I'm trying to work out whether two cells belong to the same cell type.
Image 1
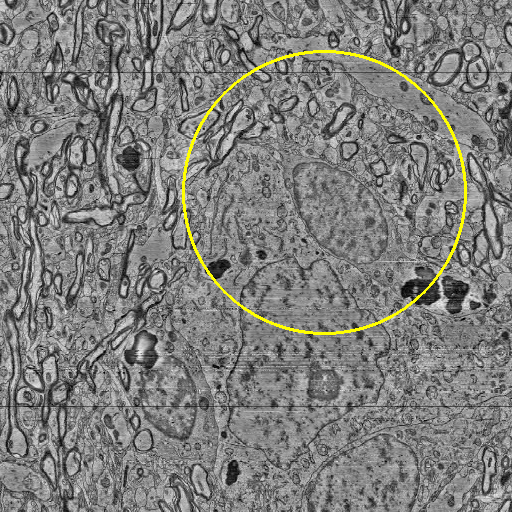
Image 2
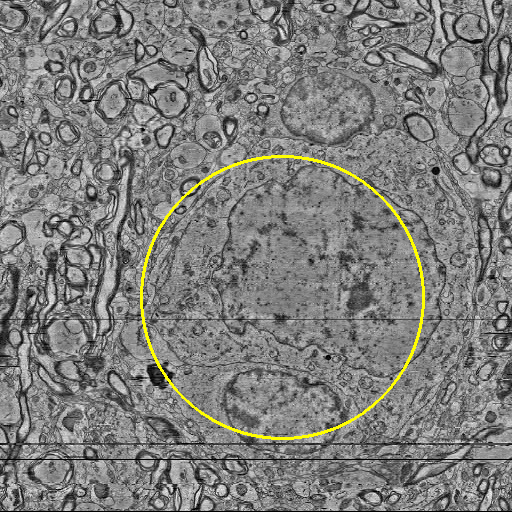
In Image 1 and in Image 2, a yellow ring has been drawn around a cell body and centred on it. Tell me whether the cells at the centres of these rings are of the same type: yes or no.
no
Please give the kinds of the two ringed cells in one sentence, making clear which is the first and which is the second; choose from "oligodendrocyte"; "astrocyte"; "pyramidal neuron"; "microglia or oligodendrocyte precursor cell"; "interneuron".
In the second picture the ringed cell is a pyramidal neuron; in the first it is an oligodendrocyte.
